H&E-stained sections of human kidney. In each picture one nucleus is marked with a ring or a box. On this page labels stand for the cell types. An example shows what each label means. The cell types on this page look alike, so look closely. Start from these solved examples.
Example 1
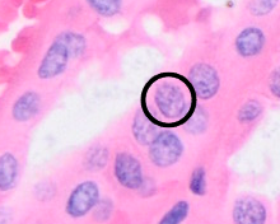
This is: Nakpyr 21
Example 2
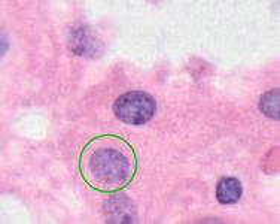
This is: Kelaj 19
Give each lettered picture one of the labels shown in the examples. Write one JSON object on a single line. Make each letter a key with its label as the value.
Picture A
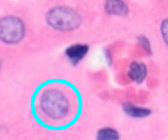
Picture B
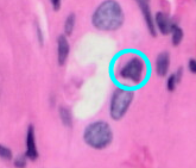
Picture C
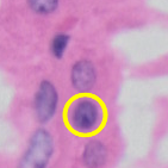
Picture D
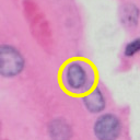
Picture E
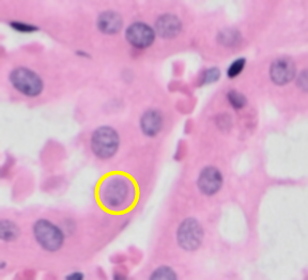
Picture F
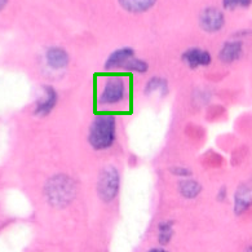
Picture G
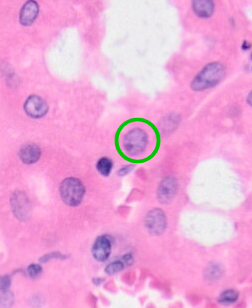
{"A": "Kelaj 19", "B": "Nakpyr 21", "C": "Kelaj 19", "D": "Nakpyr 21", "E": "Kelaj 19", "F": "Nakpyr 21", "G": "Kelaj 19"}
